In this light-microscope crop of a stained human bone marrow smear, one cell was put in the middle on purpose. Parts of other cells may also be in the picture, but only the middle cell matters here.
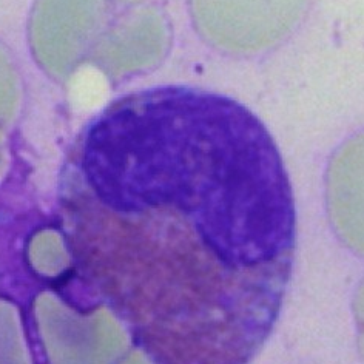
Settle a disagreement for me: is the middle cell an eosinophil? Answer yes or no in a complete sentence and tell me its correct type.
Yes, the cell in the central position is an eosinophil.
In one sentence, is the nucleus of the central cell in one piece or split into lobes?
Between us, the nucleus here is just one compact mass, round, oval or kidney-shaped.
